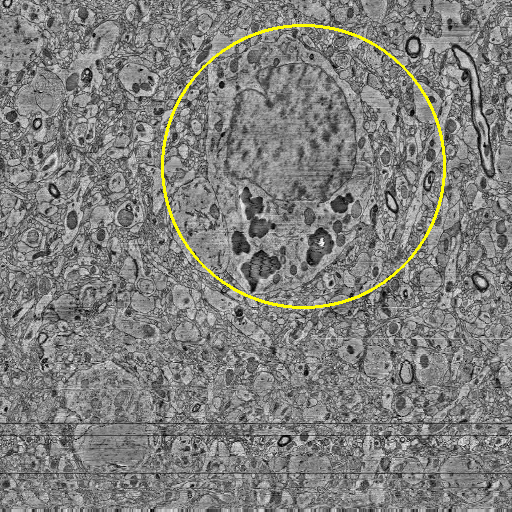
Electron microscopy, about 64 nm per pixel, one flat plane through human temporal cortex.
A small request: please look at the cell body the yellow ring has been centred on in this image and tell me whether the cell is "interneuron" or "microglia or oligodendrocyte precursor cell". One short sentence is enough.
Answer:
The cell marked by the ring is an interneuron.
